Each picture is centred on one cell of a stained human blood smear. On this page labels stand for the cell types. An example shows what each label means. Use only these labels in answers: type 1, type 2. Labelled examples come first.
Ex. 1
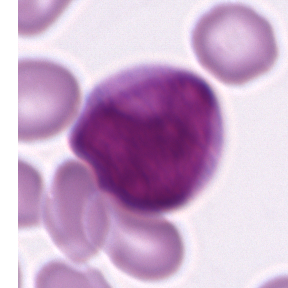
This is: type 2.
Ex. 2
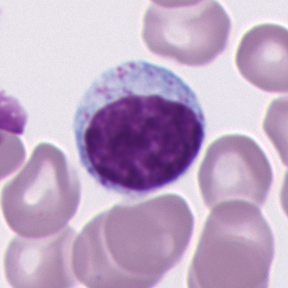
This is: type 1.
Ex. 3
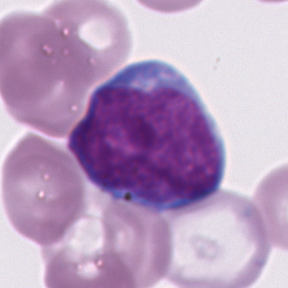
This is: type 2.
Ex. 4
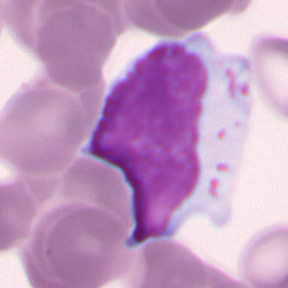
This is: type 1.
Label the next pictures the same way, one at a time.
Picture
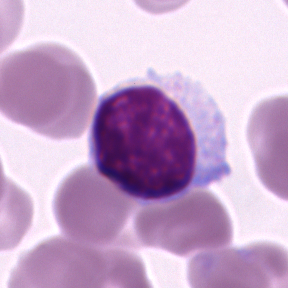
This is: type 1.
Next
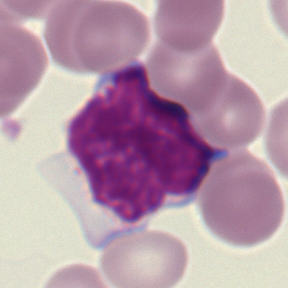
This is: type 1.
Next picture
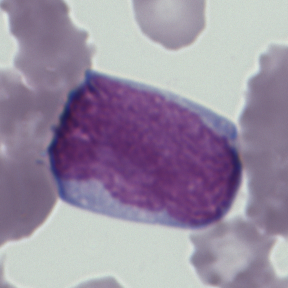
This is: type 2.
